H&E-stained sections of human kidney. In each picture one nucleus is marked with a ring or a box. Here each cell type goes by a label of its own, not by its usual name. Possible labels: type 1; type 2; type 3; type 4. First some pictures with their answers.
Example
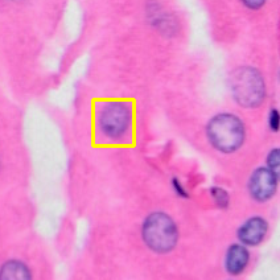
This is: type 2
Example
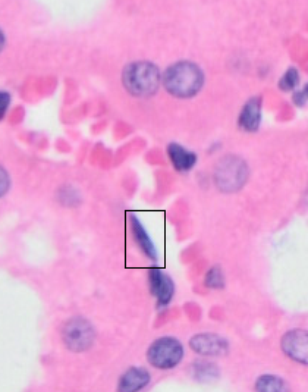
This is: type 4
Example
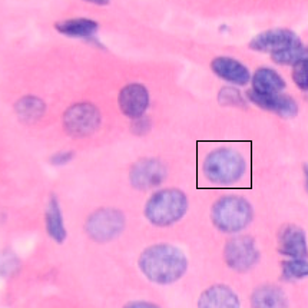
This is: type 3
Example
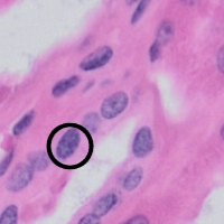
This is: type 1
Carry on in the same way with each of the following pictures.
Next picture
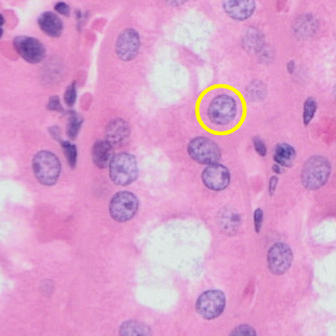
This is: type 2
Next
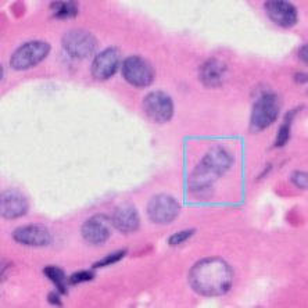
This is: type 1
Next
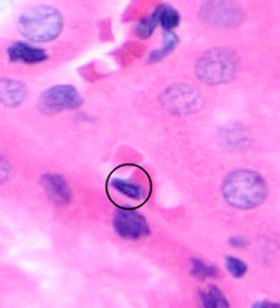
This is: type 4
